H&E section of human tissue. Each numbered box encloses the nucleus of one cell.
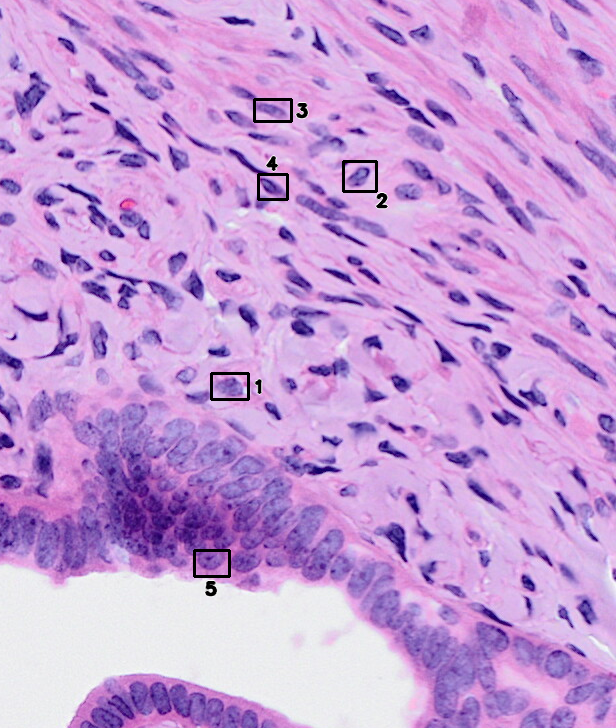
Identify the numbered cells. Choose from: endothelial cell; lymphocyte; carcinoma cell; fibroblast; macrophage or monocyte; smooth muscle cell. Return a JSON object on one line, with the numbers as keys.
{"1": "endothelial cell", "2": "smooth muscle cell", "3": "smooth muscle cell", "4": "smooth muscle cell", "5": "carcinoma cell"}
